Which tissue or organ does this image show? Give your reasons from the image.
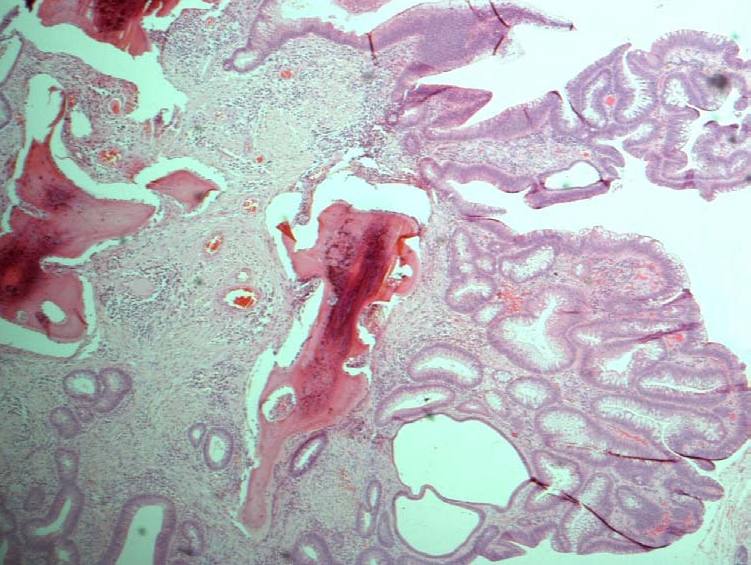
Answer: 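Adenomatous surface epithelium. The right side of the panel shows crowded, branching glands lined by tall columnar cells.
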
